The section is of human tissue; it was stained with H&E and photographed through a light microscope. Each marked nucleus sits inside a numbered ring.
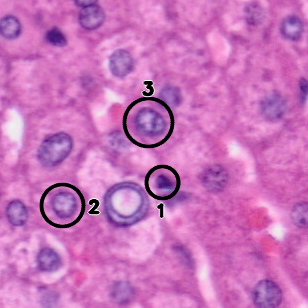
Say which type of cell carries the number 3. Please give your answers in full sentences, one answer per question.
Within this field of view, the cell labelled 3 is a hepatocyte.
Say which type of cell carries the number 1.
The cell to which the number 1 is assigned is a fibroblast or stellate cell.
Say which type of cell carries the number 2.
The nucleus with number 2 is that of a hepatocyte.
